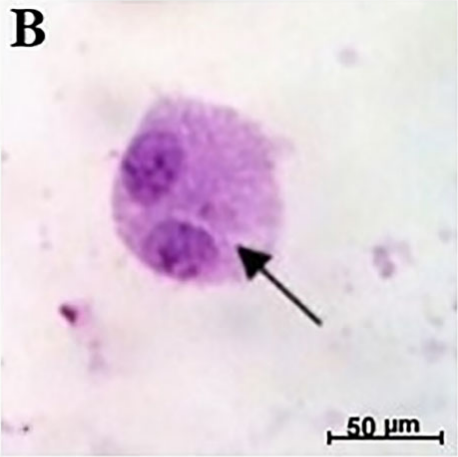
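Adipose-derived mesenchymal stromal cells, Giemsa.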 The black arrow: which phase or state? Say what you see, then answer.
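One rounded cell contains two darker purple nuclei side by side. The two nuclei are of similar size.
Answer: binucleated cells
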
